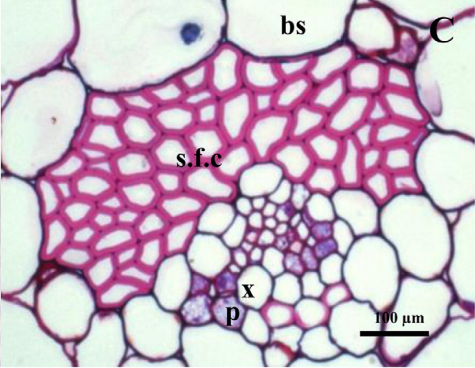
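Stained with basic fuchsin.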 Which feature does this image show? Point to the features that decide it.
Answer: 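A cluster of small thin-walled cells sits beside a cap of pink-walled polygonal cells. Large rounded pale cells encircle the whole structure. On this evidence: Vascular bundles.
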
